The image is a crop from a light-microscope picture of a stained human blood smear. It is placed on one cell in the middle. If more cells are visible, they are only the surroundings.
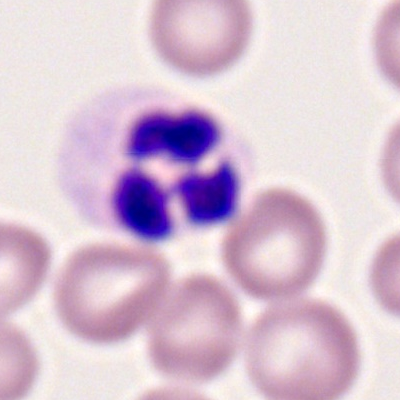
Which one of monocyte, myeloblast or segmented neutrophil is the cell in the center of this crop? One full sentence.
The cell at the middle of the crop is recognized as a segmented neutrophil.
